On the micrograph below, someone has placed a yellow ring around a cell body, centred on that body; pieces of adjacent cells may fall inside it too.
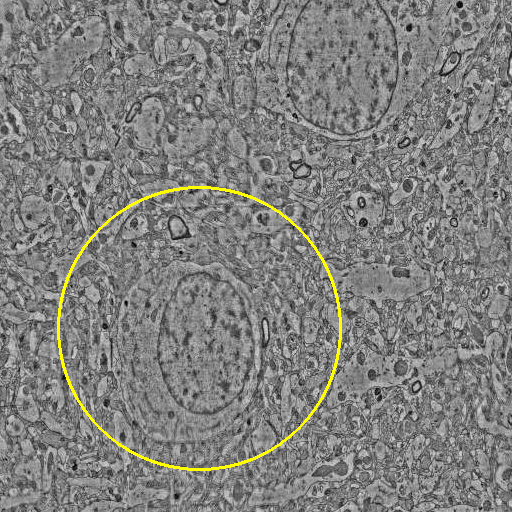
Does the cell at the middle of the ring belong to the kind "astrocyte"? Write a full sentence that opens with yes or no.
No, the micrograph shows another kind of cell at the ring's centre.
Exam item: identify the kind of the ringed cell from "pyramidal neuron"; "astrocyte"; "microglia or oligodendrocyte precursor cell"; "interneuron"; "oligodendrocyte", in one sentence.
At the centre of the ring sits a pyramidal neuron.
